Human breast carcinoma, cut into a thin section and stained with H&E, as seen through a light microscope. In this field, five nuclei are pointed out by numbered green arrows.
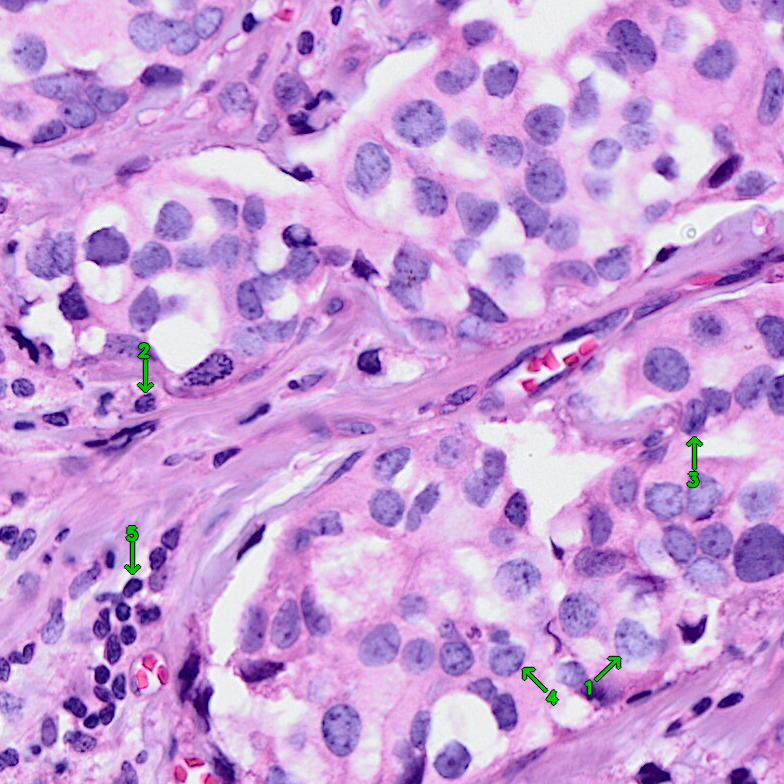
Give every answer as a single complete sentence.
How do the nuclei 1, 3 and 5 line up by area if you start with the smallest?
The order from the smallest nucleus to the largest is 5, 3, 1.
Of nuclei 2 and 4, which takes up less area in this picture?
The smaller nucleus is 2, and 4 covers roughly 3 times its area.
